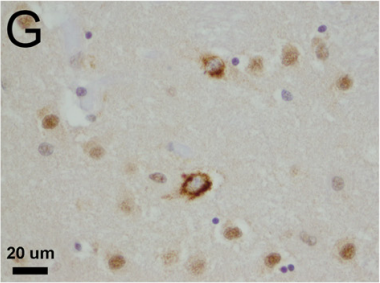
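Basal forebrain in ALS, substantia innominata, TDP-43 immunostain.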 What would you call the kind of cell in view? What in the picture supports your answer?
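Cells with round brown-stained nuclei of intermediate size are scattered evenly. Small blue glial nuclei lie between them, clearly smaller. The answer: Medium-sized neurons.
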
